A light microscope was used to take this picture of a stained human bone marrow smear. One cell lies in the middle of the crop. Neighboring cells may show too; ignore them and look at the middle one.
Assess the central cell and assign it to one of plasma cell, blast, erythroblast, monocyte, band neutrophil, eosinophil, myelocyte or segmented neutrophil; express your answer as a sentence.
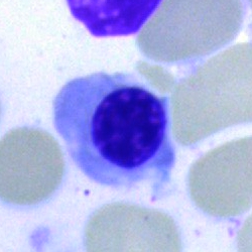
The cell centered in this field of view is an erythroblast.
